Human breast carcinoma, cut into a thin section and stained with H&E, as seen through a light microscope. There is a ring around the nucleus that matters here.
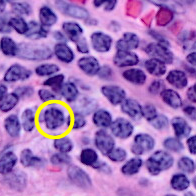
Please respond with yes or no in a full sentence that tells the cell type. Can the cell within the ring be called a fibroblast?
No, the cell within the ring is put down as a lymphocyte, not as a fibroblast.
